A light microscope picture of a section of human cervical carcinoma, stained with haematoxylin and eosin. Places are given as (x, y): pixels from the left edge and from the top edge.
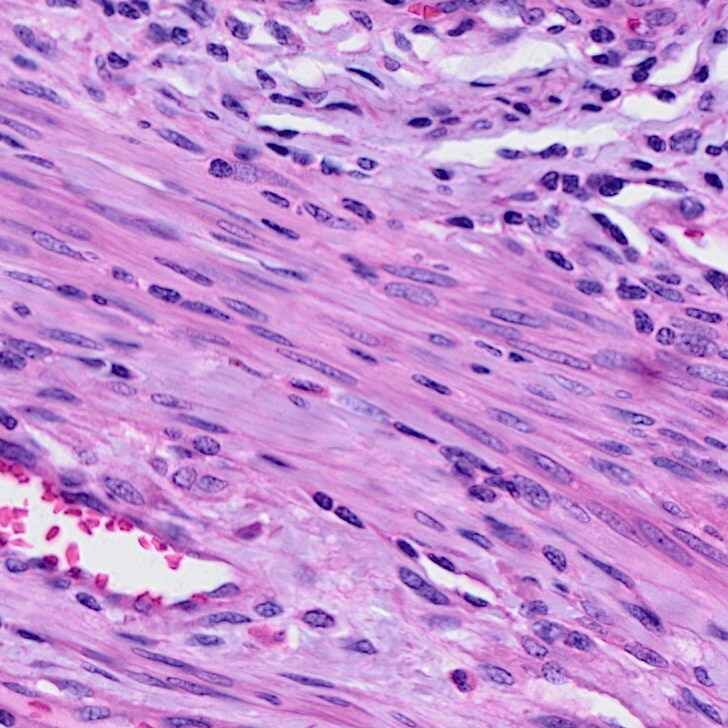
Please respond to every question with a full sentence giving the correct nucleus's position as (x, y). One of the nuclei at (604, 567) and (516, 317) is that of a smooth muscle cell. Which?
Of these two nuclei, only the one at (516, 317) belongs to a smooth muscle cell.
